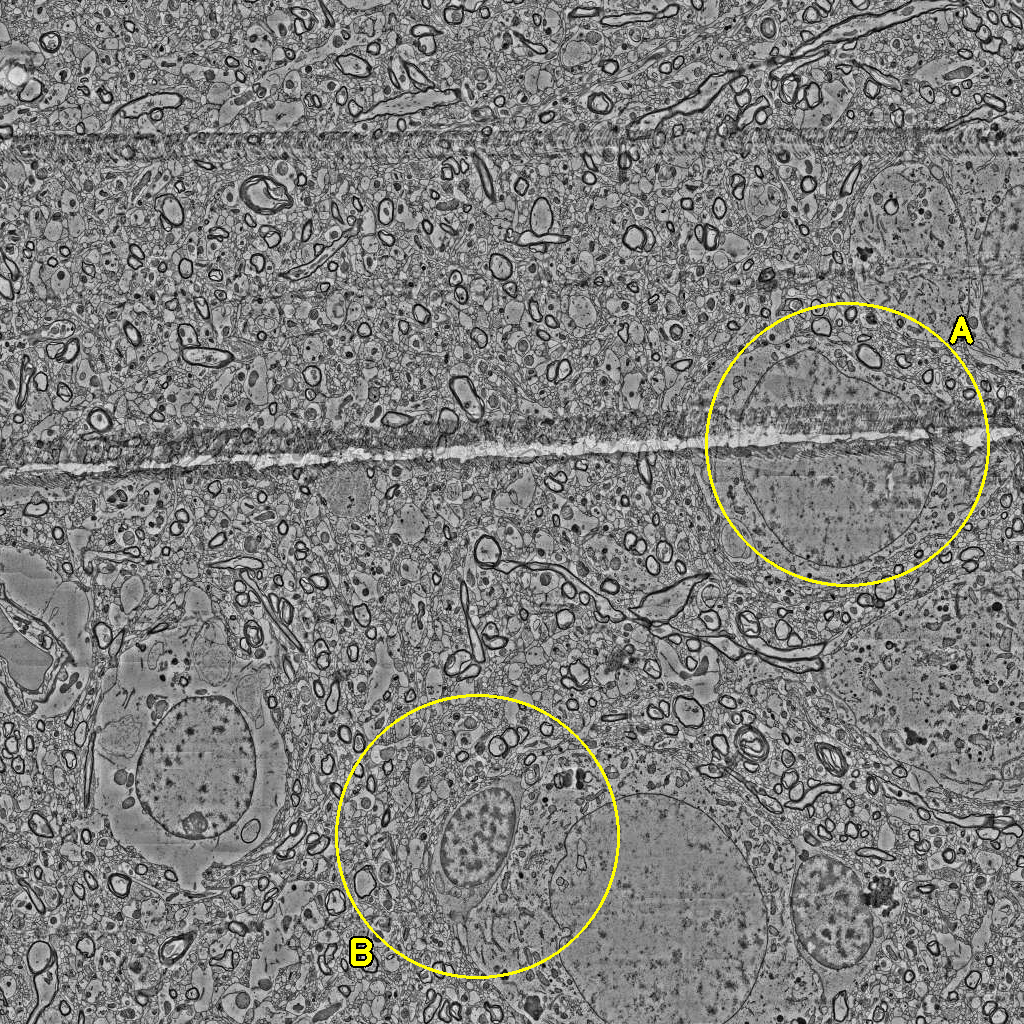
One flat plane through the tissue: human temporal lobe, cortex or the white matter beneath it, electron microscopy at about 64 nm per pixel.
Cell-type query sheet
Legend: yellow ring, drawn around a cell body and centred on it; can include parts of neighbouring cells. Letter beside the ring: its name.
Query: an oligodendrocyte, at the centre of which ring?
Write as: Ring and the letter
Ring B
